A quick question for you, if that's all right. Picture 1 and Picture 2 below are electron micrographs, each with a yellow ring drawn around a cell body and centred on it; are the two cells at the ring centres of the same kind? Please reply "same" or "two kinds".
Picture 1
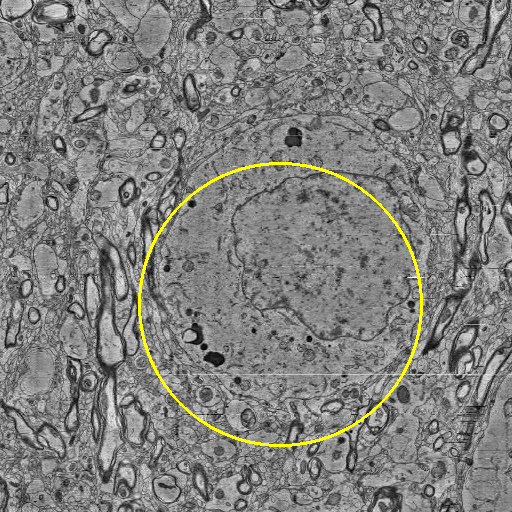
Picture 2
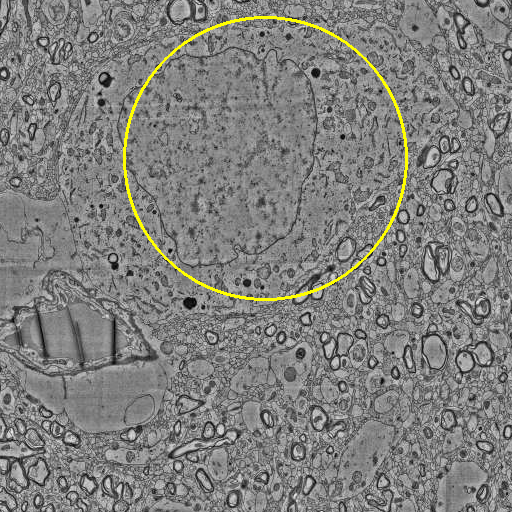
same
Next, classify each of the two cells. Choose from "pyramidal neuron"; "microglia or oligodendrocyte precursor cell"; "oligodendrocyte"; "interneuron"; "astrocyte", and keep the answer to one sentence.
Both cells are the same kind, each one being a pyramidal neuron.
